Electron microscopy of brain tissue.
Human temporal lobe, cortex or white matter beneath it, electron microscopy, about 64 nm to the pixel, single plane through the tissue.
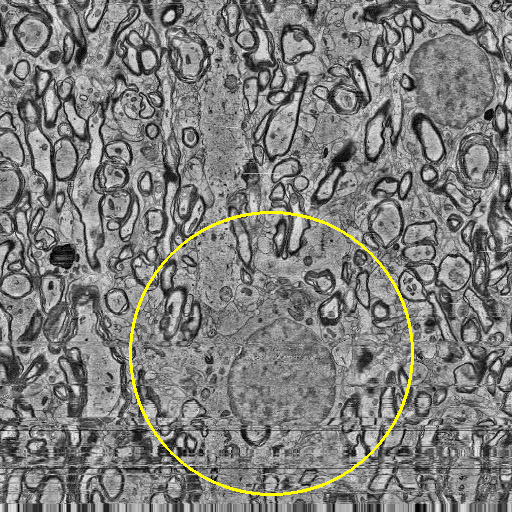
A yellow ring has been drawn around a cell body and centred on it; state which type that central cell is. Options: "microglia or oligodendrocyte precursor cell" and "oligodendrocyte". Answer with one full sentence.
The cell at the middle of the yellow ring is an oligodendrocyte in this picture.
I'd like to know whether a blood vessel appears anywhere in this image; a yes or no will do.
No, no blood vessel can be seen.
